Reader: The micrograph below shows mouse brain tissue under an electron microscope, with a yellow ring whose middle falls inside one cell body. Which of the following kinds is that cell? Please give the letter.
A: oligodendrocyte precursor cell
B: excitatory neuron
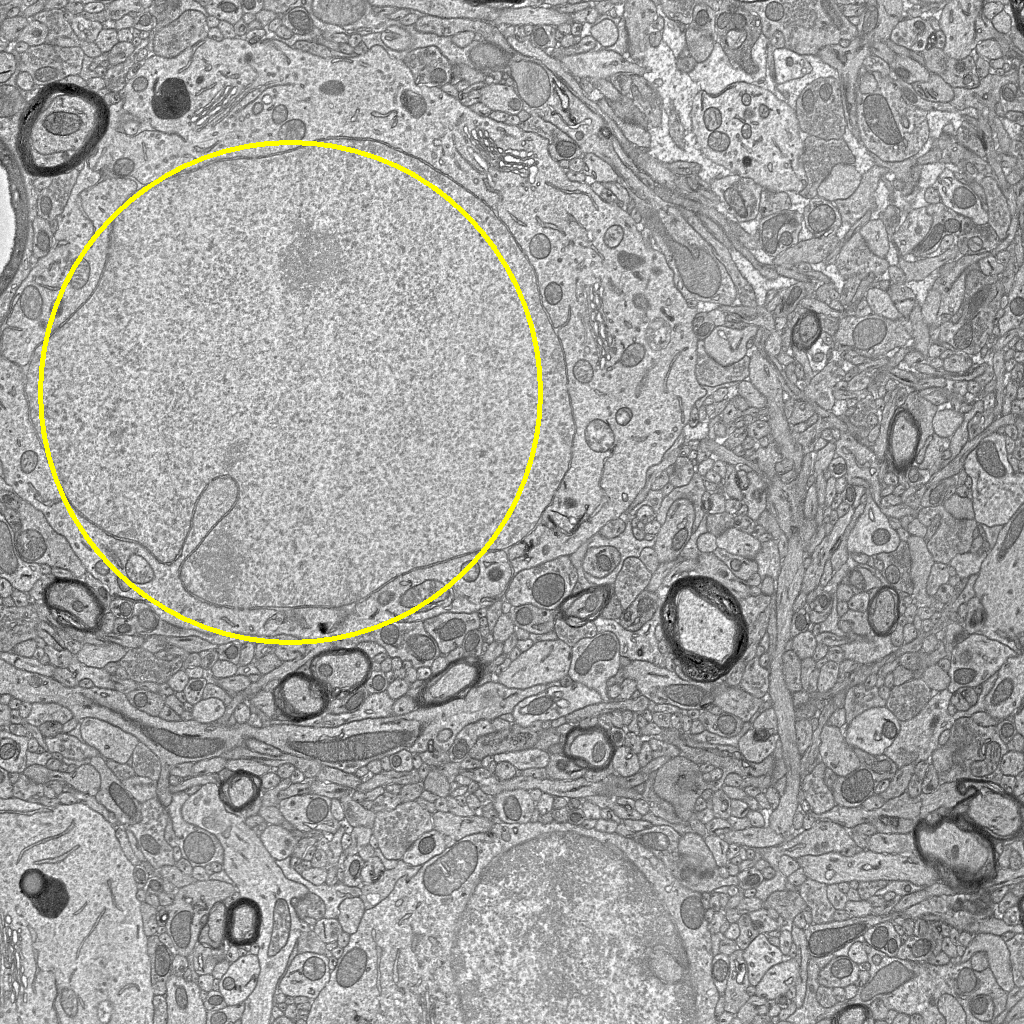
B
